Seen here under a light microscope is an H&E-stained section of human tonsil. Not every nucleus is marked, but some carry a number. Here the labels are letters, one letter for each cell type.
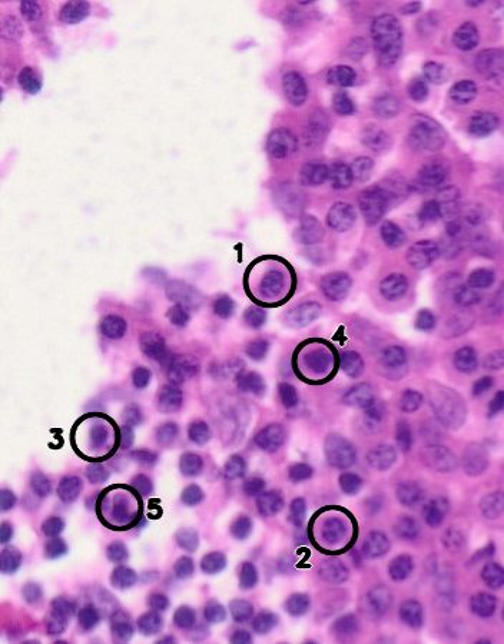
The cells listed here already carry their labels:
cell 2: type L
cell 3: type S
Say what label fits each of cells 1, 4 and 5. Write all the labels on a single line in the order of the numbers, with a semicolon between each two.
type L; type L; type S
